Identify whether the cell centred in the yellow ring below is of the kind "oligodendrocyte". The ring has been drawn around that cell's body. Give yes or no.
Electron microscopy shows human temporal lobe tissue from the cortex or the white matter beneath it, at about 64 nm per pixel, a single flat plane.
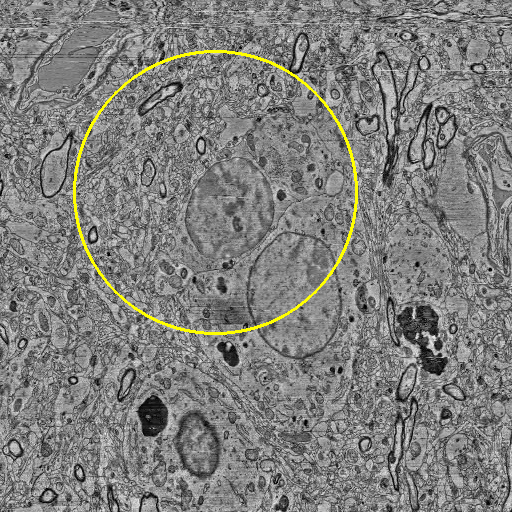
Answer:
yes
